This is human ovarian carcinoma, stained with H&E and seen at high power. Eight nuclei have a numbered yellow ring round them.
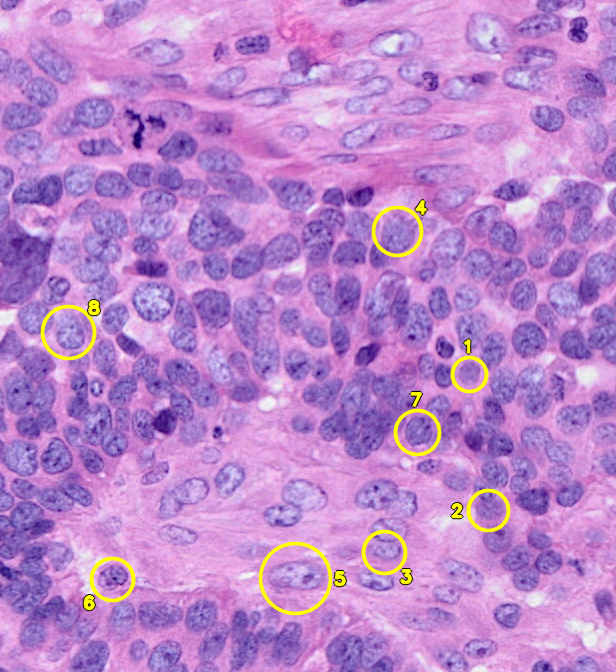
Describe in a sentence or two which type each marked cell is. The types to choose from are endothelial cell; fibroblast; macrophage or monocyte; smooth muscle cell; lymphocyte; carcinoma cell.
Cells 1, 2, 4, 7 and 8 are carcinoma cells. Cells 3 and 5 are fibroblasts. Cell 6 is a macrophage or monocyte.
